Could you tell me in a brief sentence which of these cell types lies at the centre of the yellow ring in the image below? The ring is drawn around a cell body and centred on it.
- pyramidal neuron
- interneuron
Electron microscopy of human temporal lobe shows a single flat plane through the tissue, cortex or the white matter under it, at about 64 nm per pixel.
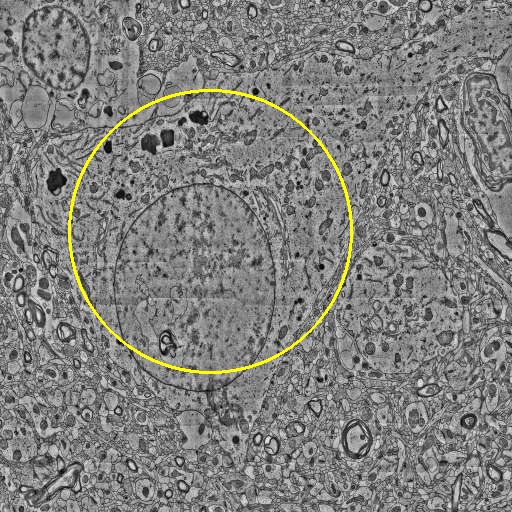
The cell centred in the ring is a pyramidal neuron.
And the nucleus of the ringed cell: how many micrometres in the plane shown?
The ringed cell's nucleus measures approximately 13 by 10 micrometres in this plane.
